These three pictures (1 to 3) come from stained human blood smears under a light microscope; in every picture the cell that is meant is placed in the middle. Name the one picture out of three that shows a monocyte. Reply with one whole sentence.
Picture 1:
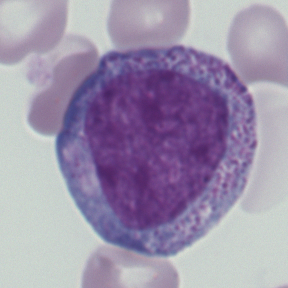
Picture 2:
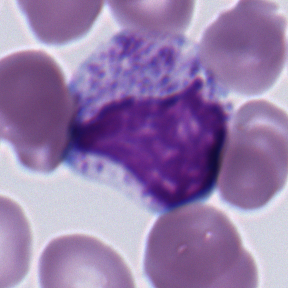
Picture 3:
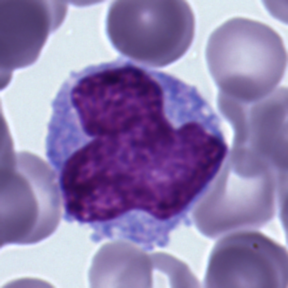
The monocyte is the one in picture 3.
